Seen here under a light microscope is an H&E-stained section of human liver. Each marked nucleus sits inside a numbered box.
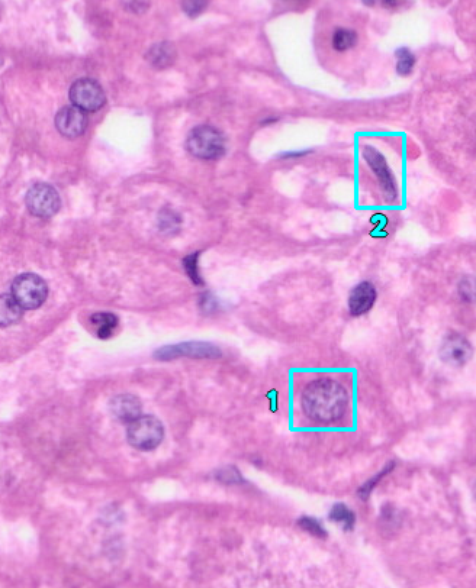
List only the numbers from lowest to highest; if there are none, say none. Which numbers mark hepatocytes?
1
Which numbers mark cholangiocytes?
none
